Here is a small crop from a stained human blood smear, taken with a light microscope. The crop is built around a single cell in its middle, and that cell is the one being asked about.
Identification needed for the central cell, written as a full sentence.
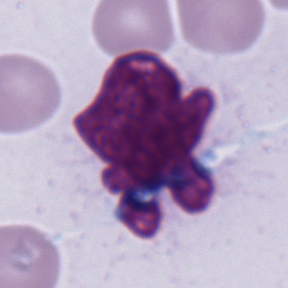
Seen at the centre of the crop is a smudge cell.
